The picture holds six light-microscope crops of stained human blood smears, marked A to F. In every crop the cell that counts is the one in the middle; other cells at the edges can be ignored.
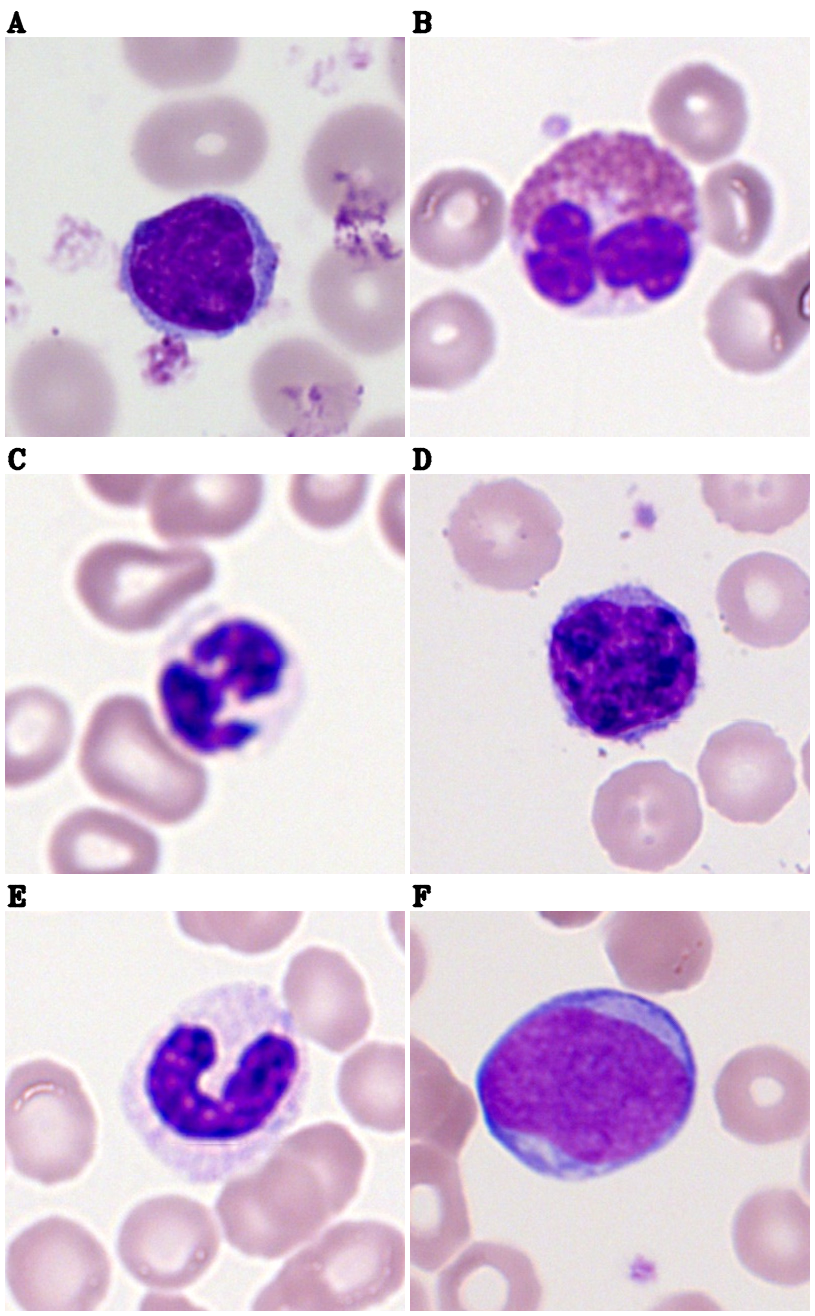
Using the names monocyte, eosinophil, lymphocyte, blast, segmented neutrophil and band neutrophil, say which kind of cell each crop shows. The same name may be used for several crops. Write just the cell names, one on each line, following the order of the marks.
lymphocyte
eosinophil
segmented neutrophil
lymphocyte
band neutrophil
blast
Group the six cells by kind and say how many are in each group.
lymphocyte: 2
eosinophil: 1
segmented neutrophil: 1
band neutrophil: 1
blast: 1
